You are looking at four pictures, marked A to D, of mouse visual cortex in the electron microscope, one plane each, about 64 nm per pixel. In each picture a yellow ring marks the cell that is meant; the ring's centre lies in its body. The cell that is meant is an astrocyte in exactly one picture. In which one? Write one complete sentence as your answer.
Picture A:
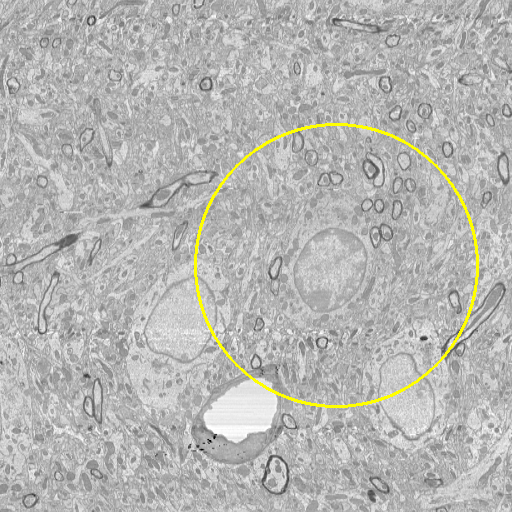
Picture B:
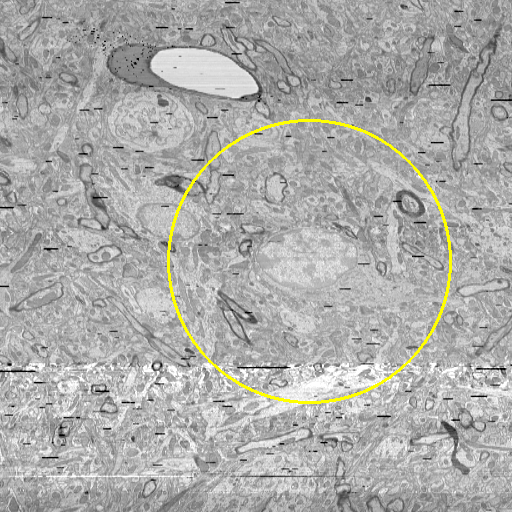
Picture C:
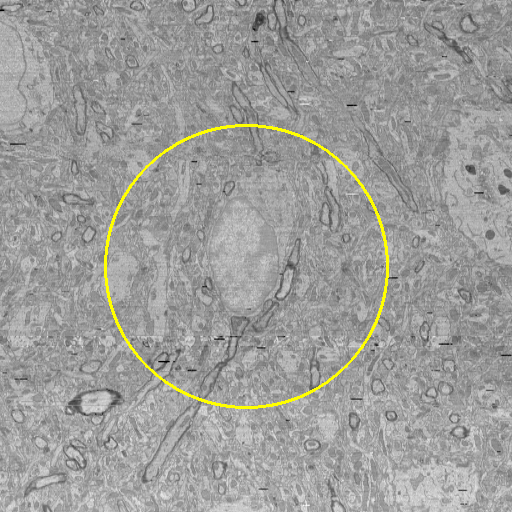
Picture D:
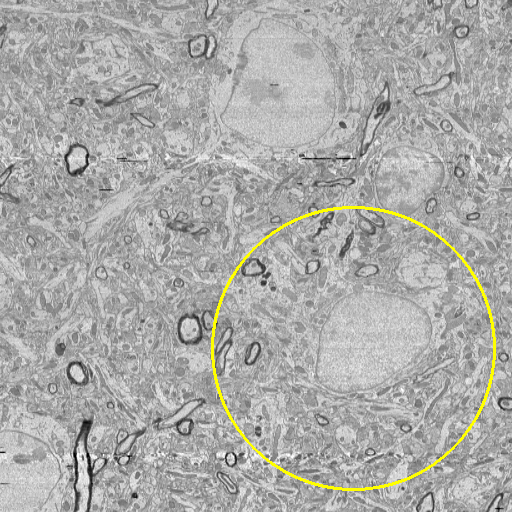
It is picture D that shows the astrocyte.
